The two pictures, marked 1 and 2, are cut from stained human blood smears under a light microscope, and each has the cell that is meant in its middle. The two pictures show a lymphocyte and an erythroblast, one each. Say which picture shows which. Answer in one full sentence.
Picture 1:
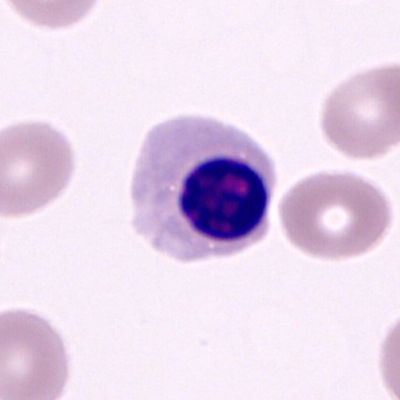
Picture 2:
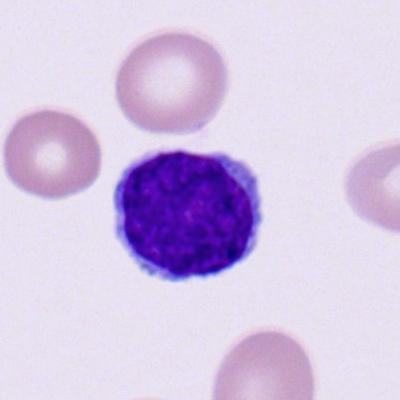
In picture 1 the cell is an erythroblast; in picture 2, a lymphocyte.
